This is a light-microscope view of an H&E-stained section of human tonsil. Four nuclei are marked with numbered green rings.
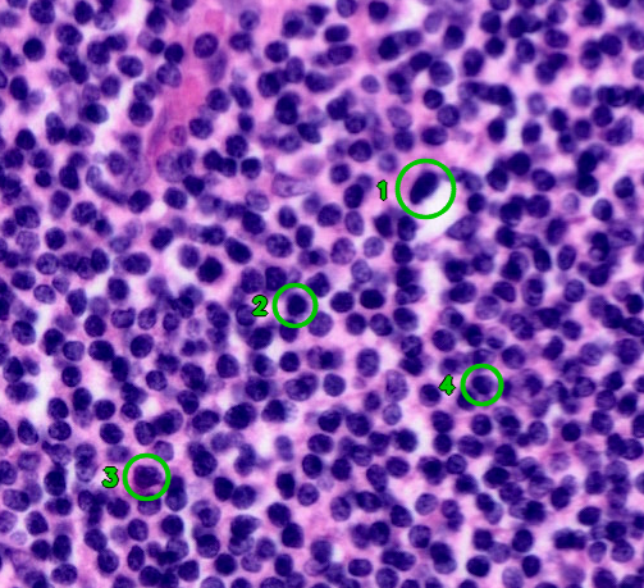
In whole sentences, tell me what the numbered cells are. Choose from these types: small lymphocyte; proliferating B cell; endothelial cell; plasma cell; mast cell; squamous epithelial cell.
Cell 1 is a proliferating B cell. Cells 2, 3 and 4 are small lymphocytes.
